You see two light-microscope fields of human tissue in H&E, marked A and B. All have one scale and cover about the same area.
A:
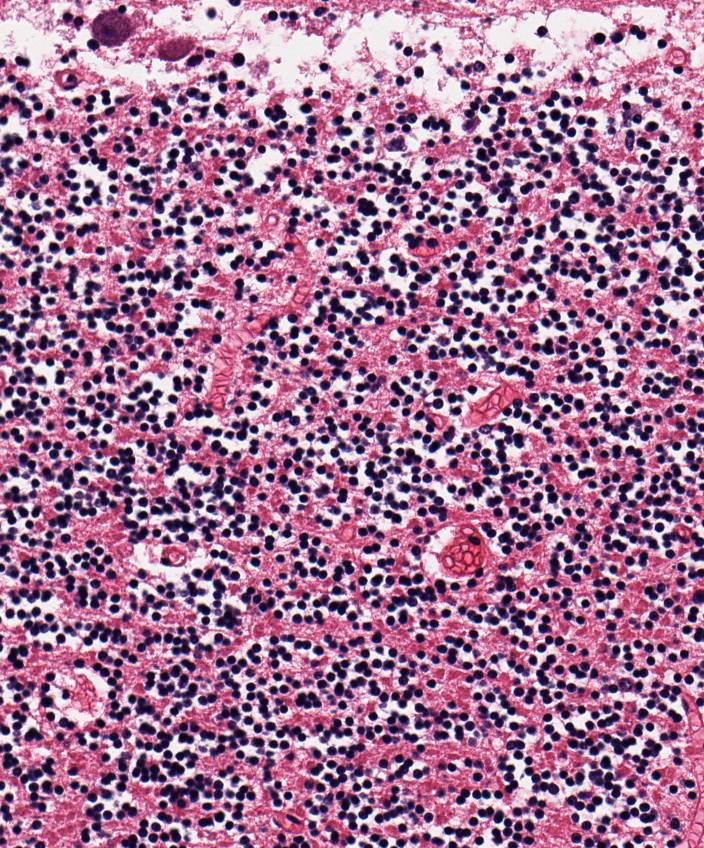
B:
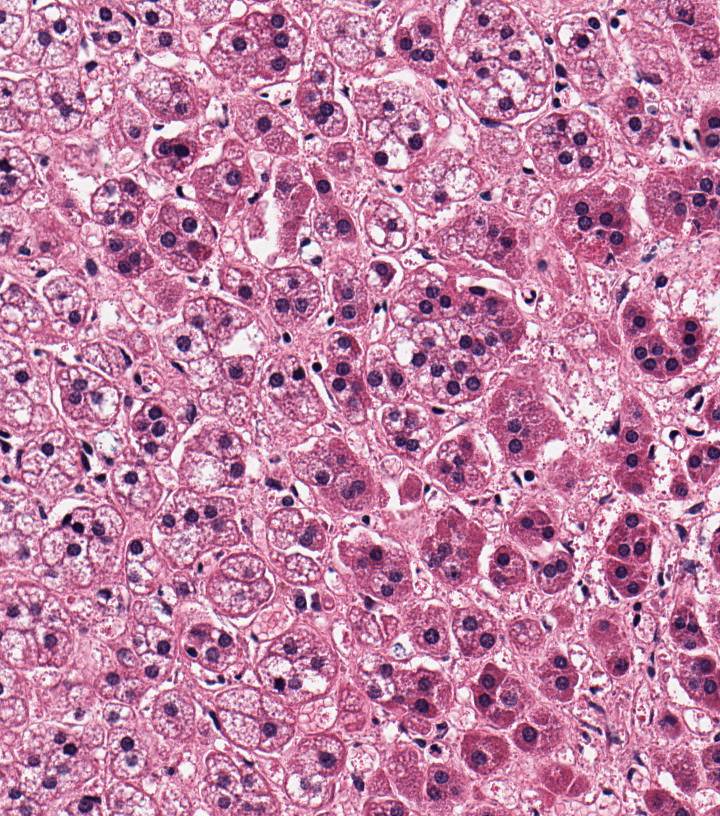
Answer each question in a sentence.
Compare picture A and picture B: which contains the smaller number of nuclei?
The smaller number of nuclei is in picture B.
